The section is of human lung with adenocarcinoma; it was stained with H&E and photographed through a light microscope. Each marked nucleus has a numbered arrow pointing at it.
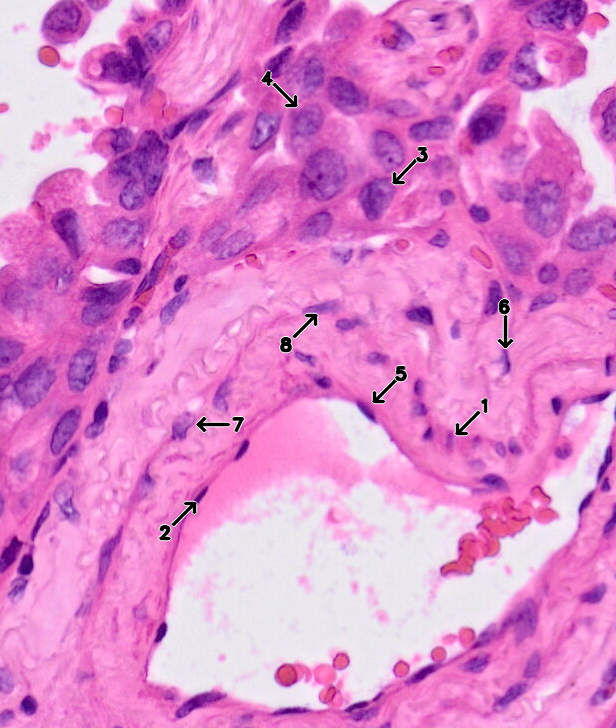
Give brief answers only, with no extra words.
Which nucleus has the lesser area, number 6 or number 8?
6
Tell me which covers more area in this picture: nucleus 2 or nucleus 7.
7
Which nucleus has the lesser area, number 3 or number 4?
4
